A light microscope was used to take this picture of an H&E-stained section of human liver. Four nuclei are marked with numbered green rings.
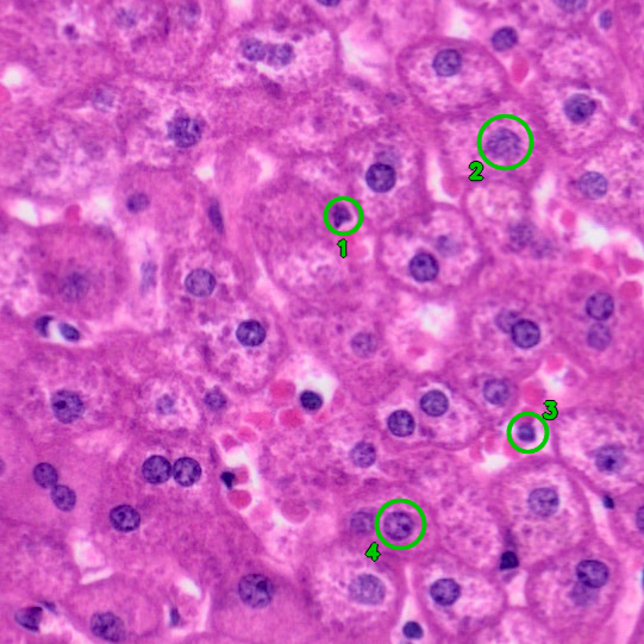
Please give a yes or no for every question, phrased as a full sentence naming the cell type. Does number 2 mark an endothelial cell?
No, the cell bearing number 2 is not an endothelial cell but a hepatocyte.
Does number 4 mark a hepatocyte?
Yes, as for number 4, the cell is a hepatocyte.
